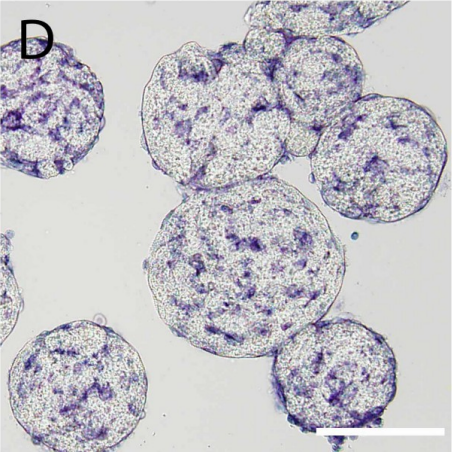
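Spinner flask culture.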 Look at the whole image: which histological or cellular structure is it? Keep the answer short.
Microcarriers.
